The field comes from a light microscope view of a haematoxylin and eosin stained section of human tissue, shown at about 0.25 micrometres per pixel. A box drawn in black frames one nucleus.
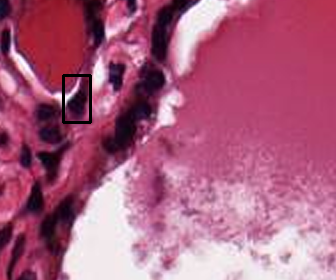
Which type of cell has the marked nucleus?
thyroid follicular cell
